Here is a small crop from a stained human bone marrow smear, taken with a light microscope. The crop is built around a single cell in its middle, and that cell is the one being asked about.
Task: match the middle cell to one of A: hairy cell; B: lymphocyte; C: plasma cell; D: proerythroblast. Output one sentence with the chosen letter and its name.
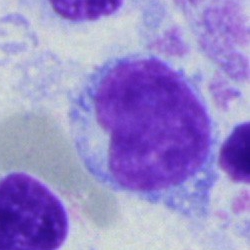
The middle of the crop holds a hairy cell, which points to option A.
